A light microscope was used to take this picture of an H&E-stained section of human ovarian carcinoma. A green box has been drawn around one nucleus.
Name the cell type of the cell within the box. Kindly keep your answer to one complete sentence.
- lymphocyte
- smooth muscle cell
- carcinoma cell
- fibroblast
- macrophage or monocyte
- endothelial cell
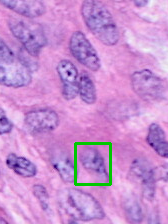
Within the stained tissue, the cell within the box is a fibroblast.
